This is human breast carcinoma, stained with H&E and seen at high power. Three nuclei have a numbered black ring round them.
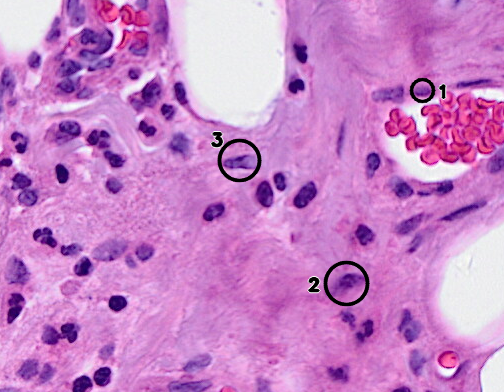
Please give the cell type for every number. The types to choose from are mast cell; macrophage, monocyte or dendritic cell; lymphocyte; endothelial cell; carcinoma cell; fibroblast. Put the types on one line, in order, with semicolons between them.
endothelial cell; fibroblast; fibroblast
